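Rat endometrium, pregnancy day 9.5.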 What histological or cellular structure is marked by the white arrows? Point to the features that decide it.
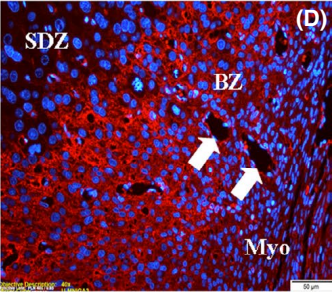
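The arrows point at dark, empty, elongated spaces within the tissue.
Answer: blood vessels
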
